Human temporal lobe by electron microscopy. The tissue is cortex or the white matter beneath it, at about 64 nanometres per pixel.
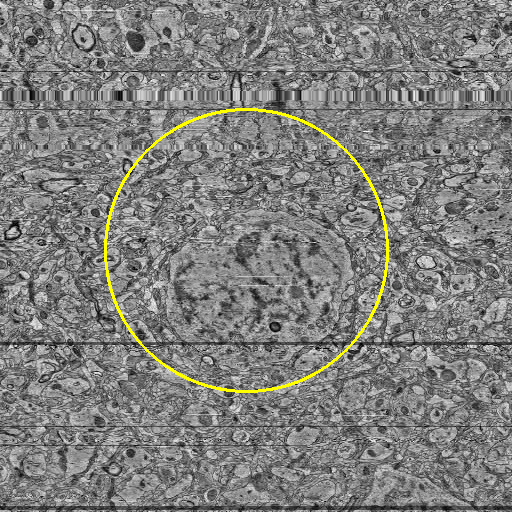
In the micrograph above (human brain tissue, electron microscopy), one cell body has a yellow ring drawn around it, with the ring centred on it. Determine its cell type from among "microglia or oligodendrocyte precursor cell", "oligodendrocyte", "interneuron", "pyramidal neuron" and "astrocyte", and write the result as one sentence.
The cell whose body is ringed is an interneuron.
